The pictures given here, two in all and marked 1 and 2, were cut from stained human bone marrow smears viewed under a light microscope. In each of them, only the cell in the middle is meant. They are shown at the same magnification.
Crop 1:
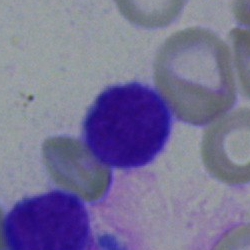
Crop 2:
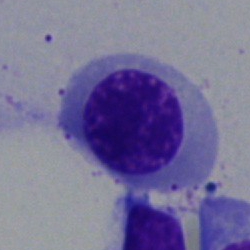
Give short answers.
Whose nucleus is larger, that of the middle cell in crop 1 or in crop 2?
2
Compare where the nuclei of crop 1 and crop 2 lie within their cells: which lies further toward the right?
1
